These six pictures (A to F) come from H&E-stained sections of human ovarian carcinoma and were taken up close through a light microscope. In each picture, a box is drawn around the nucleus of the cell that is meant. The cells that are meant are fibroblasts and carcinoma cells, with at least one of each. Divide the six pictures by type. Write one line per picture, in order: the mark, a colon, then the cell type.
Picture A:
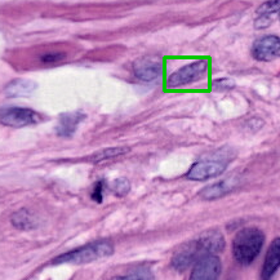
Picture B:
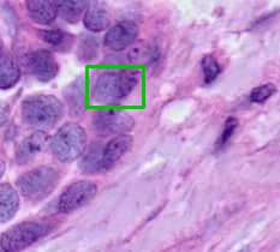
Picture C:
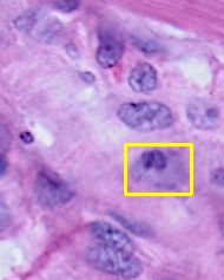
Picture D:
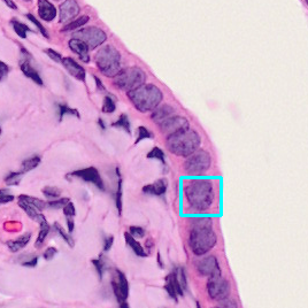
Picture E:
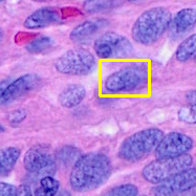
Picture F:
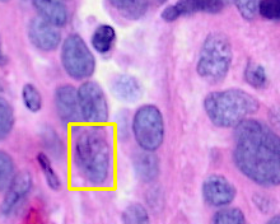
A: fibroblast
B: carcinoma cell
C: fibroblast
D: carcinoma cell
E: carcinoma cell
F: carcinoma cell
